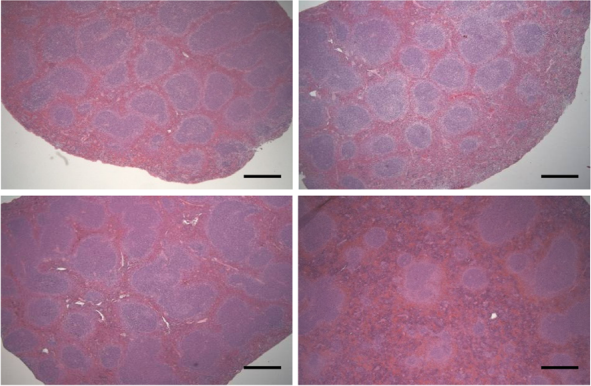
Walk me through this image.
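Four low-magnification sections of spleen show the organ's lymphoid nodules and the tissue around them. Dense, rounded purple nodules of tightly packed small cells lie scattered through a pink-red background. In one section, the pink-red areas are broader and more mottled, and the purple nodules are paler and less sharply outlined.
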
